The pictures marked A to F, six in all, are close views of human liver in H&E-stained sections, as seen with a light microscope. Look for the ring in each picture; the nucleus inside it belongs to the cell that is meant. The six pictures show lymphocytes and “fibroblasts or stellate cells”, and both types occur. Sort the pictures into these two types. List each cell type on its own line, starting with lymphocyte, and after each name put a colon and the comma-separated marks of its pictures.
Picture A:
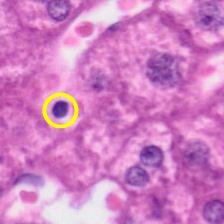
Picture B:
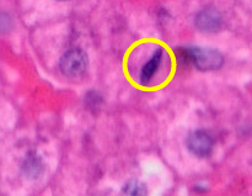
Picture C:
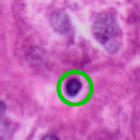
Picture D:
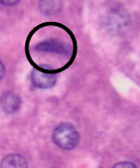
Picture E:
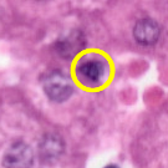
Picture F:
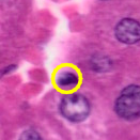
lymphocyte: A, C
fibroblast or stellate cell: B, D, E, F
